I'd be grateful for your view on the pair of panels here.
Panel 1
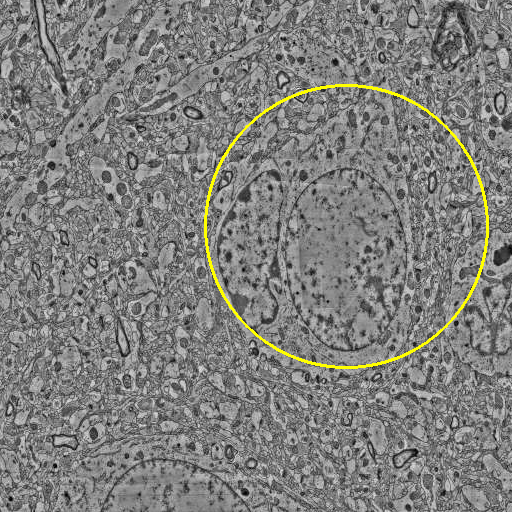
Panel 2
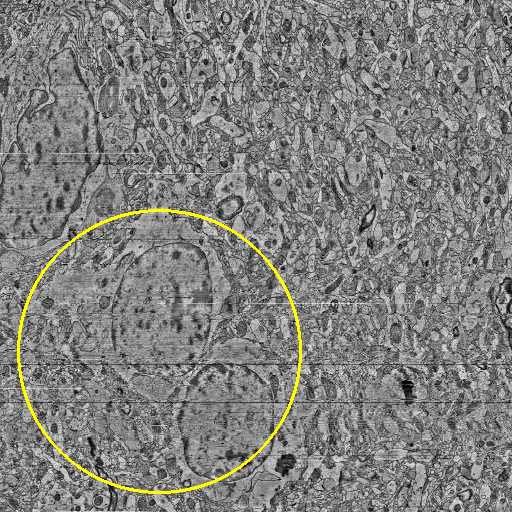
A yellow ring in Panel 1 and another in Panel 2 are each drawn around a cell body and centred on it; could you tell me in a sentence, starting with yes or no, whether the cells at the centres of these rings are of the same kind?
No, they are two kinds of cell.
